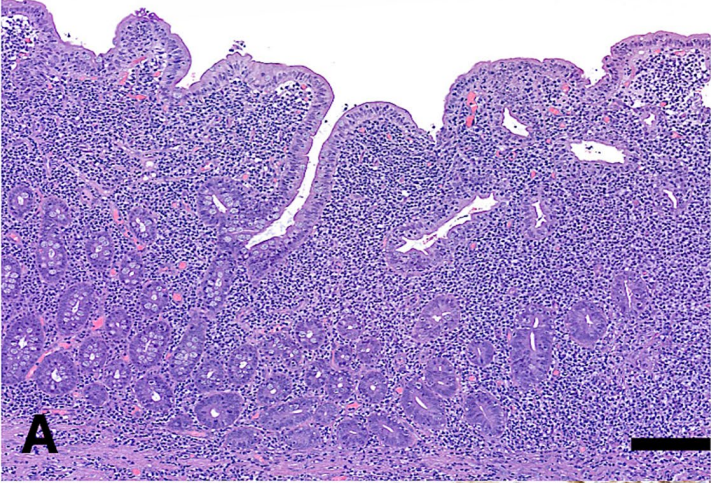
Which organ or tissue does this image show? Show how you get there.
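Small intestine. Tubular crypts cut in cross-section at the base of the mucosa.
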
